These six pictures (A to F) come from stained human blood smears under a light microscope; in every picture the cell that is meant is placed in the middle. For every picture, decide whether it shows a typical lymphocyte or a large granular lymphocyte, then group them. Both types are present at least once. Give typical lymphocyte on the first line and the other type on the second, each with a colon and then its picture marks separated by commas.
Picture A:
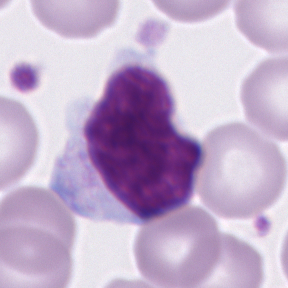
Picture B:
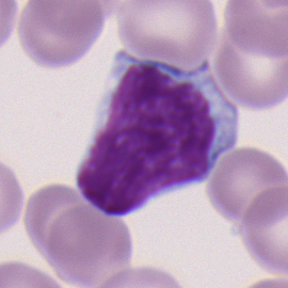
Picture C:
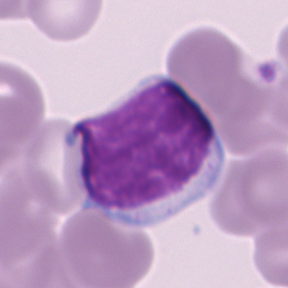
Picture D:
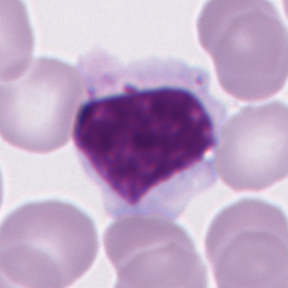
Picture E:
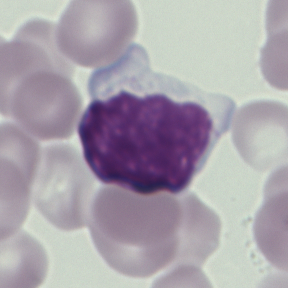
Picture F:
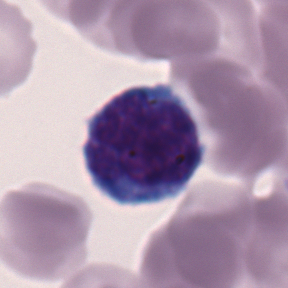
typical lymphocyte: B, F
large granular lymphocyte: A, C, D, E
